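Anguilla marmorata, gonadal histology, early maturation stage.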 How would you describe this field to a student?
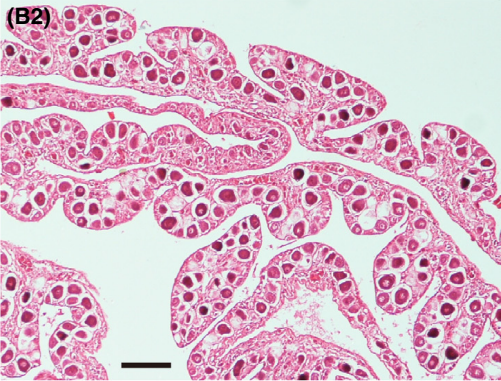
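Smaller cells lie between them, and some cells have pale, clear cytoplasm. The lamellae are separated by open clear spaces, and no large yolk-filled oocytes are present.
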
